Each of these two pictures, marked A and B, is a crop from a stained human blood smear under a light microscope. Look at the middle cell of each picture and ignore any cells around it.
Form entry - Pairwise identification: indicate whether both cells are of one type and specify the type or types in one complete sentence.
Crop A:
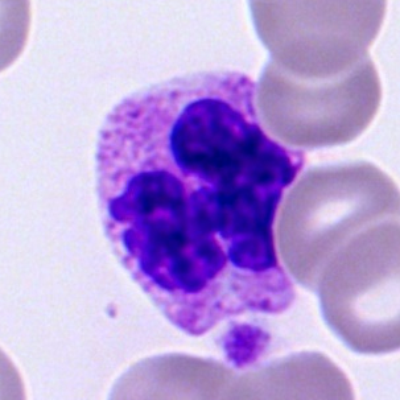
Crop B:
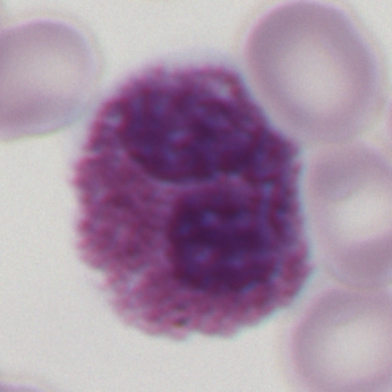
No, the cell of interest in crop A is a basophil, and in crop B it is an eosinophil.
